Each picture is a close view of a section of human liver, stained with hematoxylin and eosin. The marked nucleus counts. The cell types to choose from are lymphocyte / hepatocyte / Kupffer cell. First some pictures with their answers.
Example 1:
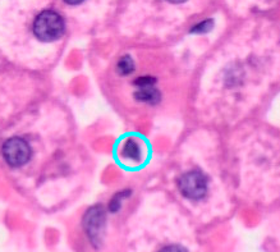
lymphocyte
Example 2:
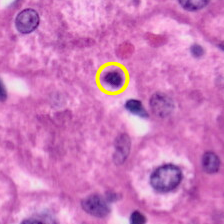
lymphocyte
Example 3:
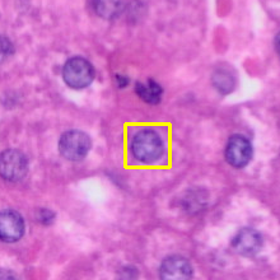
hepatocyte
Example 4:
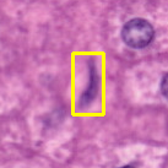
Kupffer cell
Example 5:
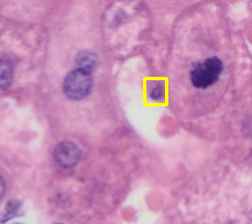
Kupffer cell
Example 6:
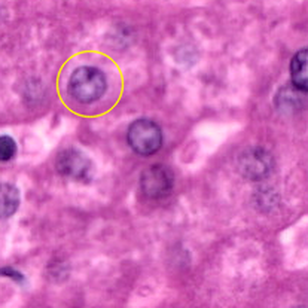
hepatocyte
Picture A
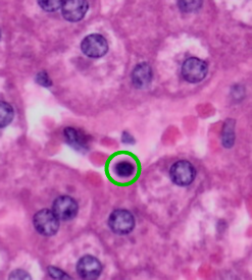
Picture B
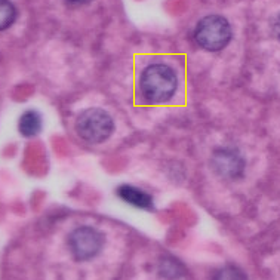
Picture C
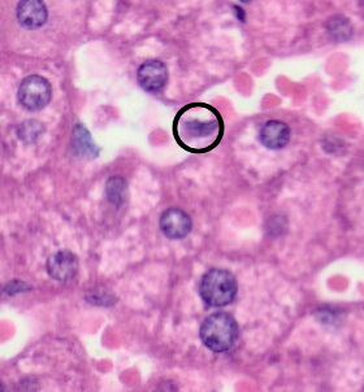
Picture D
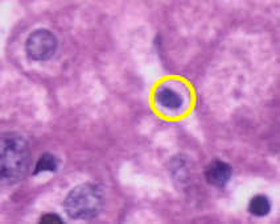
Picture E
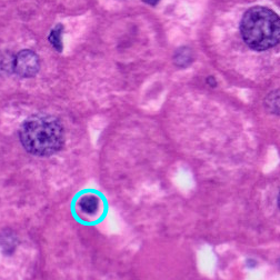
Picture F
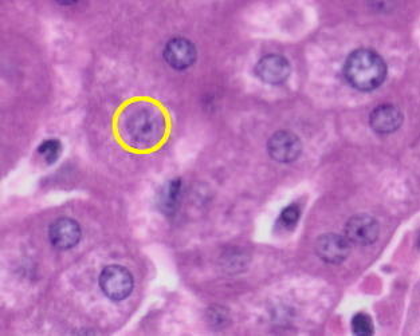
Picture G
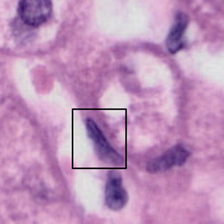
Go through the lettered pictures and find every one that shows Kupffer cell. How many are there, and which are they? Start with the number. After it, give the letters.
2, namely C, G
